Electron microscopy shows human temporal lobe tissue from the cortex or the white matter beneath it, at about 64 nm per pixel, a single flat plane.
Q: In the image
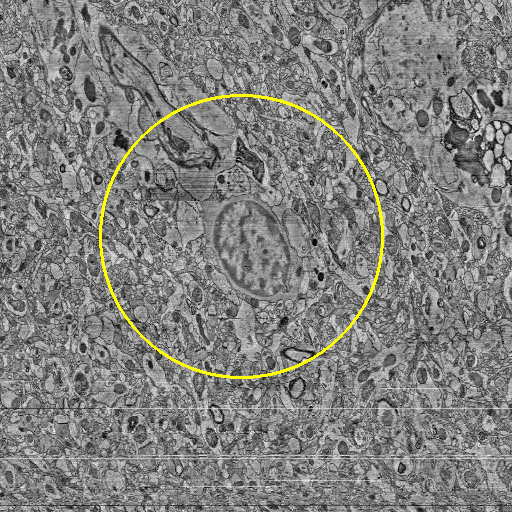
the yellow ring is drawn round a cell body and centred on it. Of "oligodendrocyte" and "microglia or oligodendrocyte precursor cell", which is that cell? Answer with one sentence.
The cell centred in the ring is an oligodendrocyte.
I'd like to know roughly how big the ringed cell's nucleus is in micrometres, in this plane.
In this plane the nucleus spans approximately 7 by 5 micrometers.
